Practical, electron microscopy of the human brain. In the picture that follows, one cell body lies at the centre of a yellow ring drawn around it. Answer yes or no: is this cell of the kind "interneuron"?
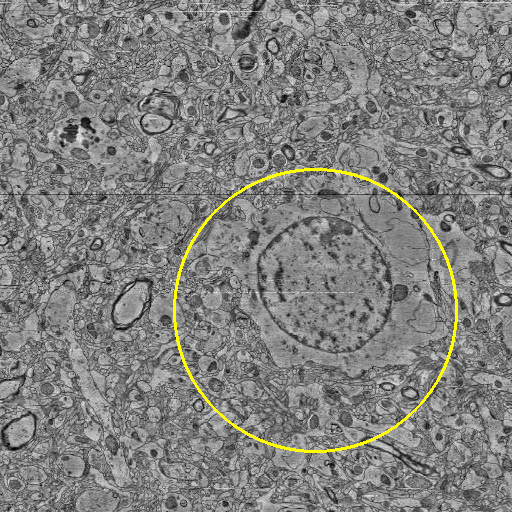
no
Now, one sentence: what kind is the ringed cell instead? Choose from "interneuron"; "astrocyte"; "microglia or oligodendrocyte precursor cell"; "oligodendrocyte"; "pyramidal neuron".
What the ring encloses here is an astrocyte.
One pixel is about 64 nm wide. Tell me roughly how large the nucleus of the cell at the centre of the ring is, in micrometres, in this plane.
The nucleus comes to roughly 9 micrometres across in this plane.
